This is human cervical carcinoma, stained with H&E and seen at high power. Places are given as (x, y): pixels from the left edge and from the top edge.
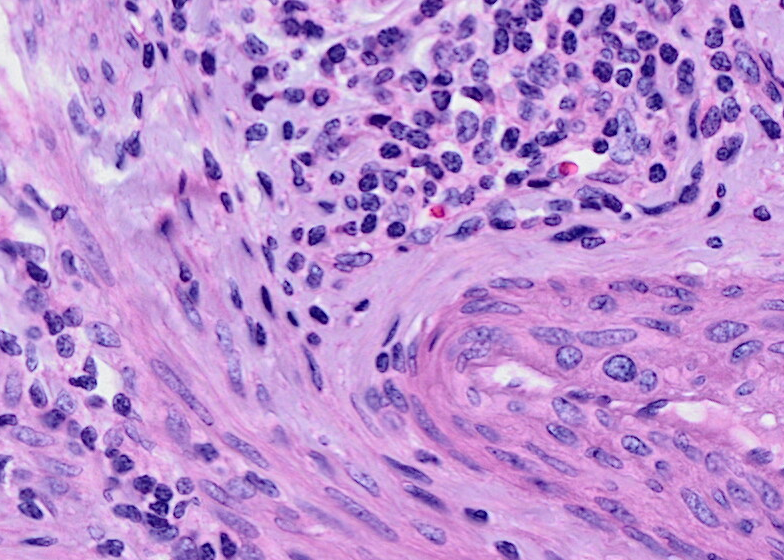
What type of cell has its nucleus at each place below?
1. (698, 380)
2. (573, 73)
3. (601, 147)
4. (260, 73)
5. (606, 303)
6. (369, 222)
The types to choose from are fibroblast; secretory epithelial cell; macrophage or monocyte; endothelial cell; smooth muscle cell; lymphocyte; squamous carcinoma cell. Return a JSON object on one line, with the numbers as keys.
{"1": "smooth muscle cell", "2": "lymphocyte", "3": "lymphocyte", "4": "lymphocyte", "5": "smooth muscle cell", "6": "lymphocyte"}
